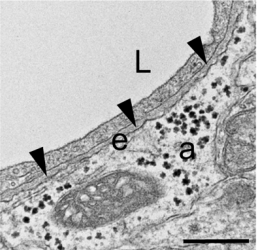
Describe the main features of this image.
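High-magnification transmission electron micrograph of a brain capillary wall. The empty, pale lumen occupies the upper part. It is lined by a thin, continuous endothelial cell layer of moderate density, outside which runs a thin dense lamina. Directly against the wall lies a pale astrocyte endfoot containing numerous small, dark, round granules and, lower left, a mitochondrion with clearly visible cristae. Further processes of surrounding neural tissue with membranes are seen at the right. Arrowheads point along the boundary between the wall and the endfoot, which lie closely apposed without visible gaps.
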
